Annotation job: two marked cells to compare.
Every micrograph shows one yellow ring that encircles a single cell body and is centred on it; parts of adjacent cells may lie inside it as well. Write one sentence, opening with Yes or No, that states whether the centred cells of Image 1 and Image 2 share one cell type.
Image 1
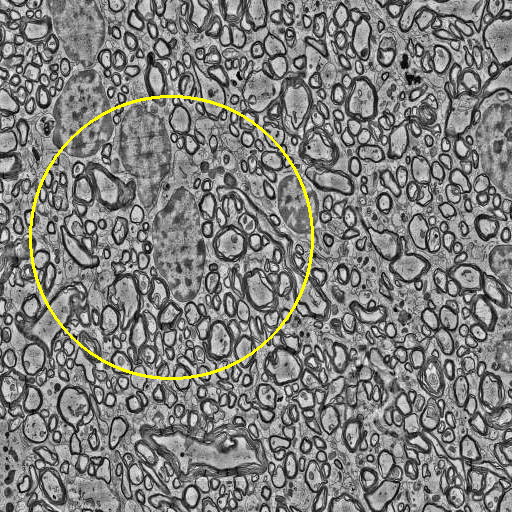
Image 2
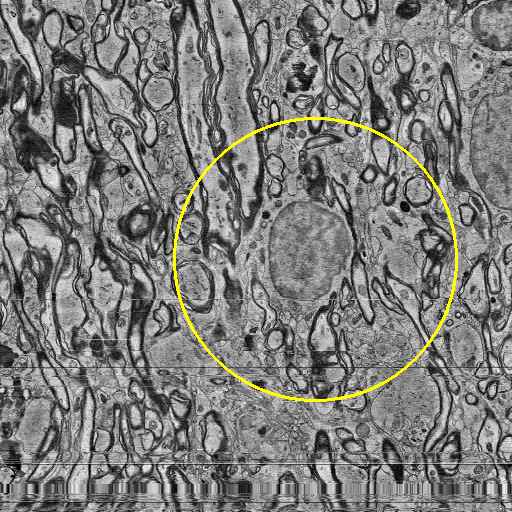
No, the cell centred in Image 1 and the cell centred in Image 2 are of two types.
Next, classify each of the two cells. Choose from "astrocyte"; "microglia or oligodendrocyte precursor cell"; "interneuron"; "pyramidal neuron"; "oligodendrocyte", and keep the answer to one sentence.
In the first picture it is a microglial cell or oligodendrocyte precursor cell; in the second it is an oligodendrocyte.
